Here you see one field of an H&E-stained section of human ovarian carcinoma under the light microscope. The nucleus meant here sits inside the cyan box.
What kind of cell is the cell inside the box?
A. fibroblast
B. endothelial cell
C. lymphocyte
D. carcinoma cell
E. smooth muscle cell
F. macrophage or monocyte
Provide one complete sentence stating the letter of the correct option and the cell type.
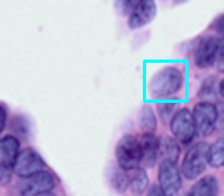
On this slide, the cell inside the box is a carcinoma cell, so option D is right.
